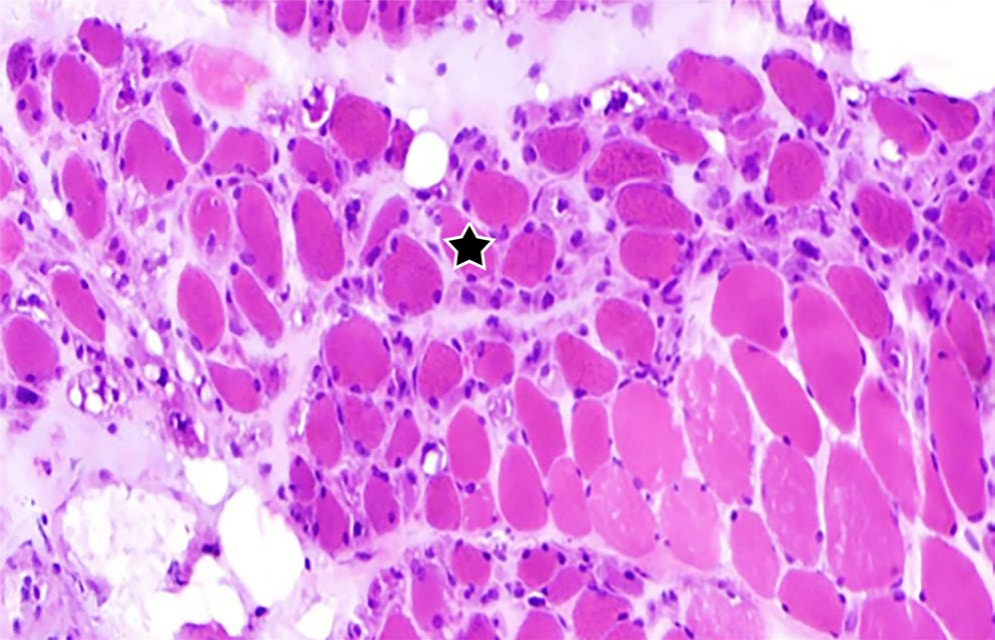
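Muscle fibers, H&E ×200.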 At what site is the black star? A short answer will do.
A: Peri‐fascicular region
